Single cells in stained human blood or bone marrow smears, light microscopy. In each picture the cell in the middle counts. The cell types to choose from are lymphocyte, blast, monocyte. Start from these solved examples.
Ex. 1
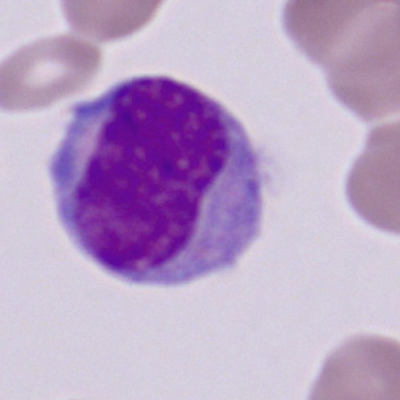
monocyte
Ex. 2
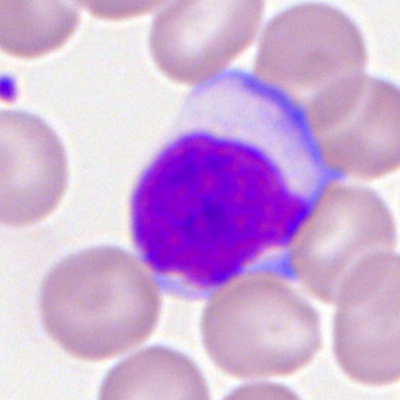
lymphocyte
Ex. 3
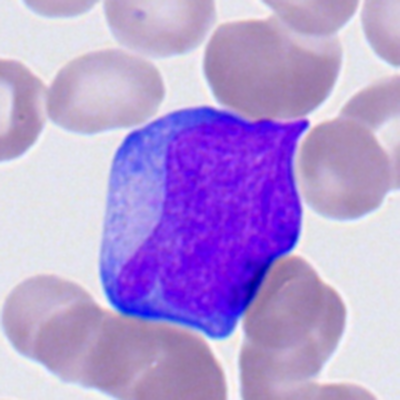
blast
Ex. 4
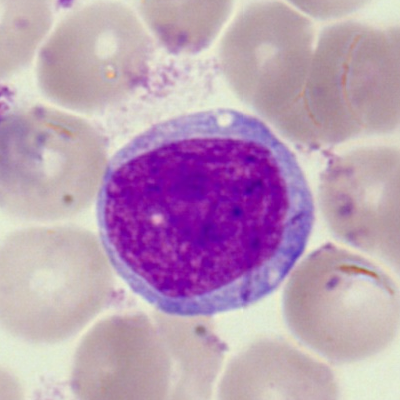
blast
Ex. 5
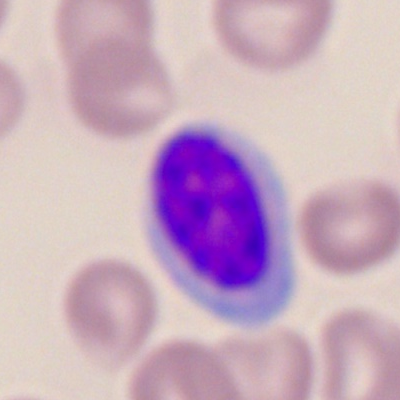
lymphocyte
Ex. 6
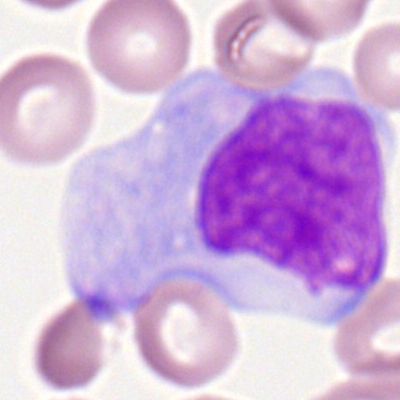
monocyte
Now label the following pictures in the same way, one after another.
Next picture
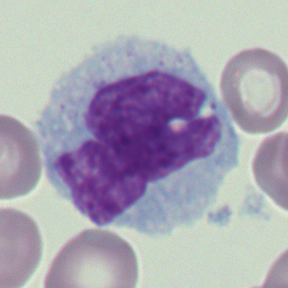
monocyte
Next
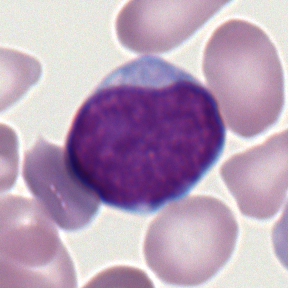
blast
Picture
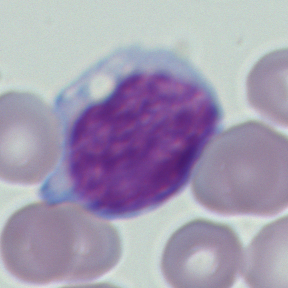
blast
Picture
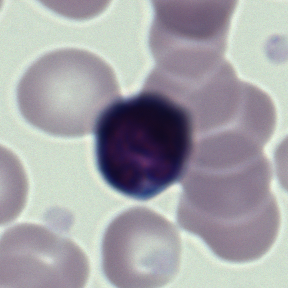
lymphocyte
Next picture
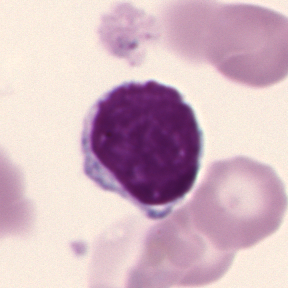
lymphocyte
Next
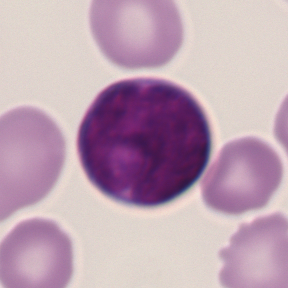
blast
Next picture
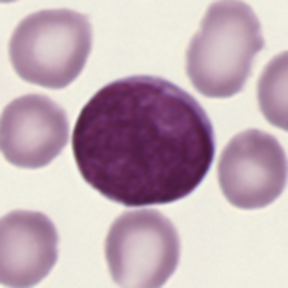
blast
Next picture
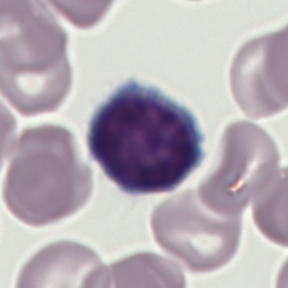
lymphocyte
